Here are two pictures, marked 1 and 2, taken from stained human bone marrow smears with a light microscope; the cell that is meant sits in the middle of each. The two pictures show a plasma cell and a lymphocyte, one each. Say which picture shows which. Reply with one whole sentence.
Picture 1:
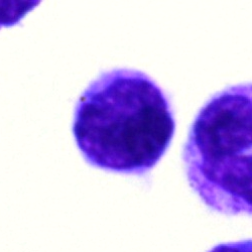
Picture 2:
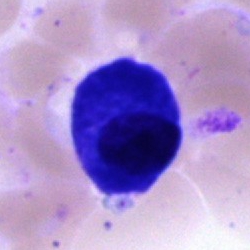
It is picture 1 that shows a lymphocyte, and picture 2 that shows a plasma cell.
